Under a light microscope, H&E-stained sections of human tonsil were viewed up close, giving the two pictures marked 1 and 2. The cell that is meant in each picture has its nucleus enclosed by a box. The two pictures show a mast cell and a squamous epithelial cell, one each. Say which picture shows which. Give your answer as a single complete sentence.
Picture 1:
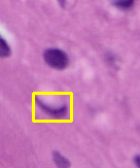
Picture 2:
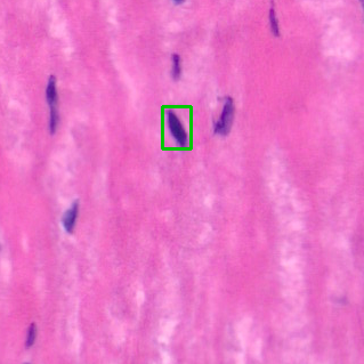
Picture 1 shows a squamous epithelial cell and picture 2 shows a mast cell.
